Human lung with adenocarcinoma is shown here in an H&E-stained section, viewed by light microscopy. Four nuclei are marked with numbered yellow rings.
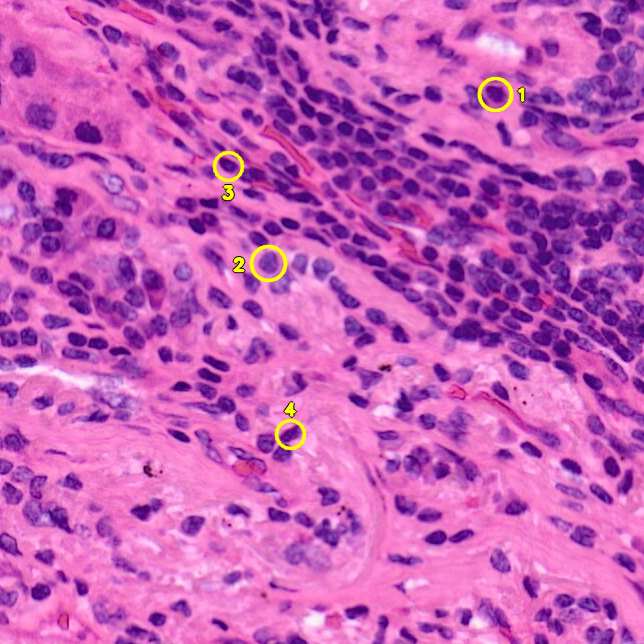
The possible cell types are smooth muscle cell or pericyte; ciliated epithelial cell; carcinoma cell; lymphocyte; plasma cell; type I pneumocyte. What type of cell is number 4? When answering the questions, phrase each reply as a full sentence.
In this section, the cell numbered 4 is a lymphocyte.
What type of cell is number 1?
The cell carrying label 1 is identified as a plasma cell.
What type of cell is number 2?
The identity of cell 2 is that of a lymphocyte.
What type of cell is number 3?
Within this field of view, the cell labelled 3 is a lymphocyte.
